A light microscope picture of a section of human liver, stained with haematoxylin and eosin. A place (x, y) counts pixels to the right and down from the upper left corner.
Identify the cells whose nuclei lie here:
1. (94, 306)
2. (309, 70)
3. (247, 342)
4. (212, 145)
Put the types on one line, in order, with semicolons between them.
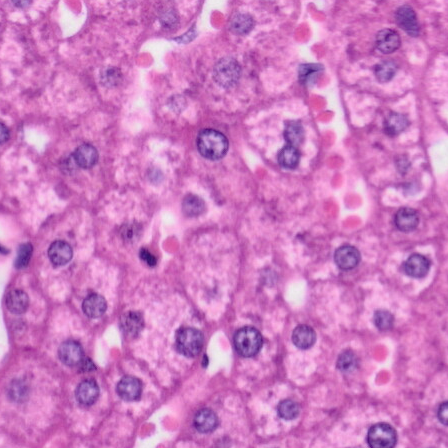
hepatocyte; endothelial cell; hepatocyte; hepatocyte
